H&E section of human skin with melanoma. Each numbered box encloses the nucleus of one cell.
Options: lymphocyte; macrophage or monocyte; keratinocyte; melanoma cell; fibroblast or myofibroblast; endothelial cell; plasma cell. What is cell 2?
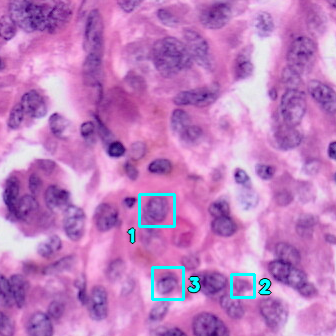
melanoma cell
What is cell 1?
endothelial cell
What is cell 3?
macrophage or monocyte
